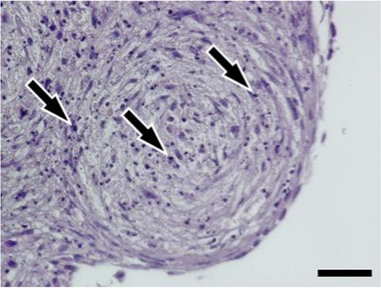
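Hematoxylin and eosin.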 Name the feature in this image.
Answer: cell aggregate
